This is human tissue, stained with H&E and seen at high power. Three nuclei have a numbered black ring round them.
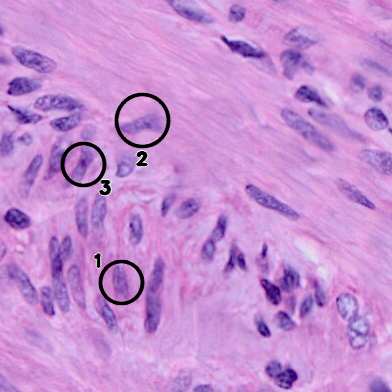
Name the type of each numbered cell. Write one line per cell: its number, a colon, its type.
1: smooth muscle cell
2: fibroblast
3: smooth muscle cell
